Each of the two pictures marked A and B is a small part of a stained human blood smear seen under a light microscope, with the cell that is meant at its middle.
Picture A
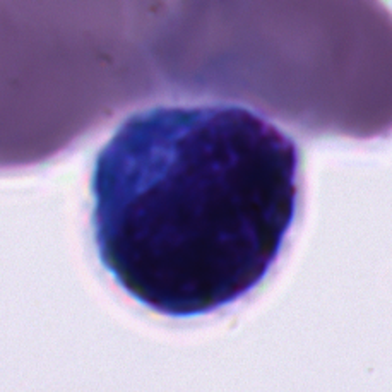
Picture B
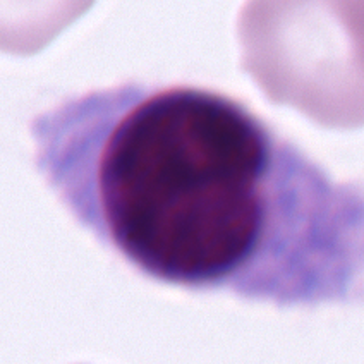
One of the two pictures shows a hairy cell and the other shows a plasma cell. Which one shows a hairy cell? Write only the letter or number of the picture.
B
